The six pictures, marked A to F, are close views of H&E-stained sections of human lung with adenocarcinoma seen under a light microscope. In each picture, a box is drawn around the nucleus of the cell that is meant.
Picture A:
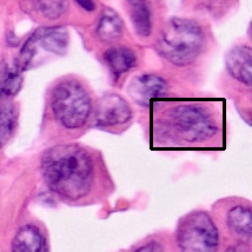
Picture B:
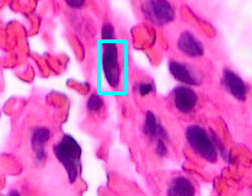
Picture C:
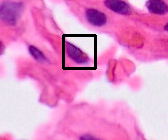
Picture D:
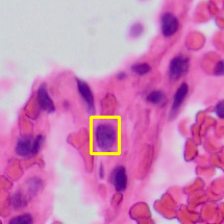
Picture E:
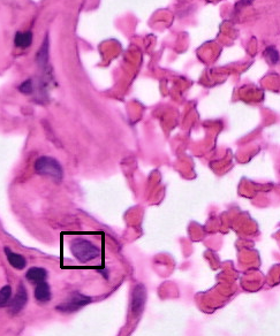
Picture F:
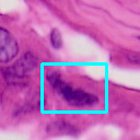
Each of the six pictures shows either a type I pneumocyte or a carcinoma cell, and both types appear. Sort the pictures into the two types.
A: carcinoma cell
B: type I pneumocyte
C: type I pneumocyte
D: type I pneumocyte
E: type I pneumocyte
F: carcinoma cell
